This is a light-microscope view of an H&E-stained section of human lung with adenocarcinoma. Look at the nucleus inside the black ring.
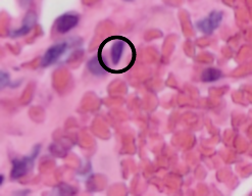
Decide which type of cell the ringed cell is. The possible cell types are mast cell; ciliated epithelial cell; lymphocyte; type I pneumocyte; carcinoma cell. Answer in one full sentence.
By cell type, the ringed cell is a type I pneumocyte.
